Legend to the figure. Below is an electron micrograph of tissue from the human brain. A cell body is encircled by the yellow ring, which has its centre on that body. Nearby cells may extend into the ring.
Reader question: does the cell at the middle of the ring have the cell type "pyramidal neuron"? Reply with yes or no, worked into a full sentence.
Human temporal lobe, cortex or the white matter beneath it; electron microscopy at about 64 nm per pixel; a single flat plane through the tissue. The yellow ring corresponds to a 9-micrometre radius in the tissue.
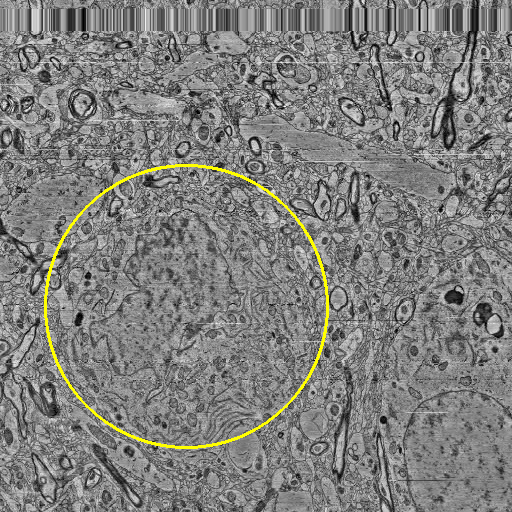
No, the cell sitting at the middle of the ring in the picture has another cell type.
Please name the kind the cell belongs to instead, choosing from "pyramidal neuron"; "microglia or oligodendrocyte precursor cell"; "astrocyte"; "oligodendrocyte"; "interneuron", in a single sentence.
The cell enclosed by the ring is an interneuron.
